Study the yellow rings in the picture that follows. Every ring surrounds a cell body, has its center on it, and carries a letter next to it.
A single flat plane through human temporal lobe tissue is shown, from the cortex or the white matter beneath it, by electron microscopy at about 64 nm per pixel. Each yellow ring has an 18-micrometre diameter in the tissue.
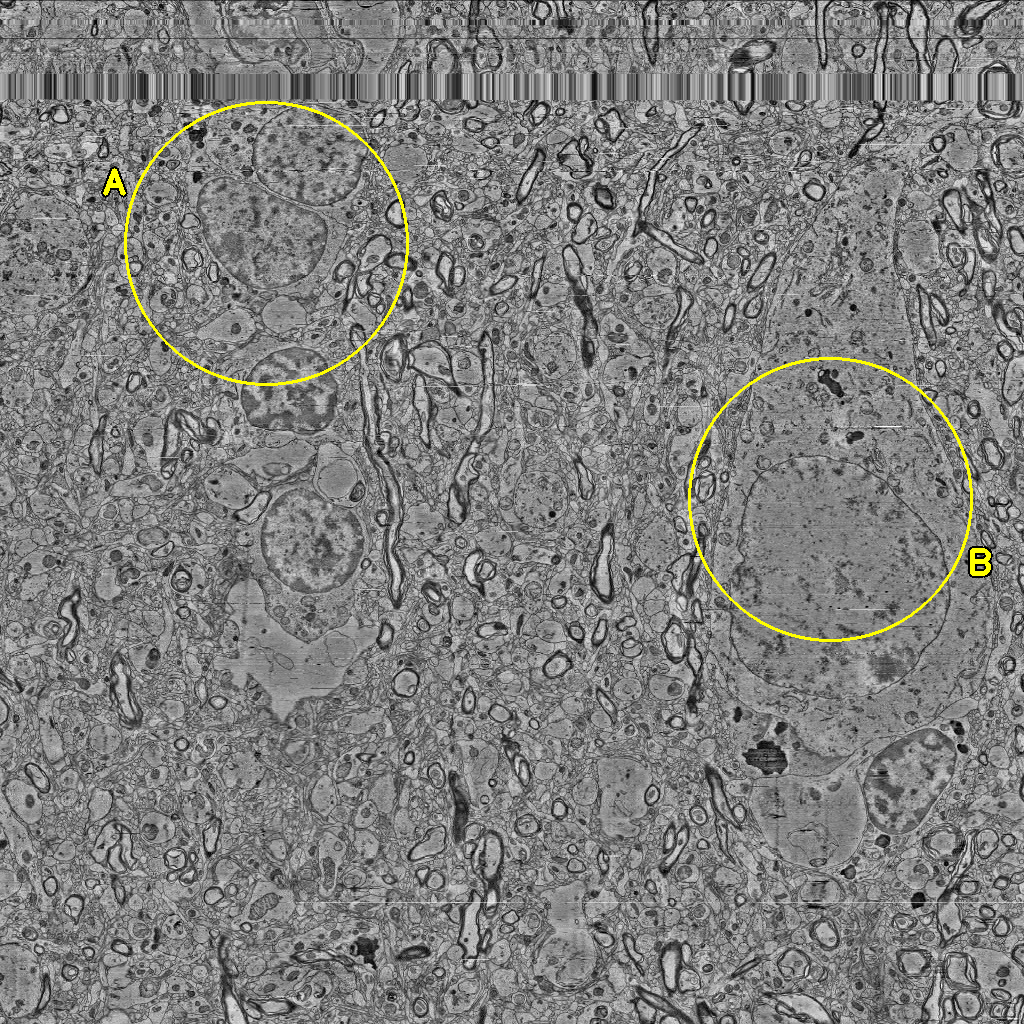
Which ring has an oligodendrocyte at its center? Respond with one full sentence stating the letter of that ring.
The ring centered on the cell asked for carries the letter A.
